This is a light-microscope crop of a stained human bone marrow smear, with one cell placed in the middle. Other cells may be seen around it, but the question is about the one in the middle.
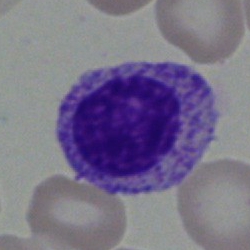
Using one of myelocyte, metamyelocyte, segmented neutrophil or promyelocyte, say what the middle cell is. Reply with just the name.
myelocyte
